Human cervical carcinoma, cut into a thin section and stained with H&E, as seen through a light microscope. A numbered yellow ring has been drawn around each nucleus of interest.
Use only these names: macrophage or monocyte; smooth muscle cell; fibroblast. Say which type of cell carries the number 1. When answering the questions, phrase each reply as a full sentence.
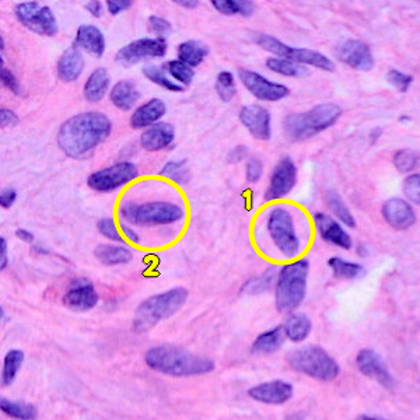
It is as a fibroblast that the cell numbered 1 is identified.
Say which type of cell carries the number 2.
The cell that goes by number 2 is a smooth muscle cell.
